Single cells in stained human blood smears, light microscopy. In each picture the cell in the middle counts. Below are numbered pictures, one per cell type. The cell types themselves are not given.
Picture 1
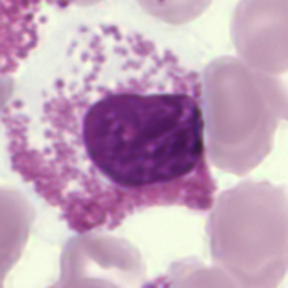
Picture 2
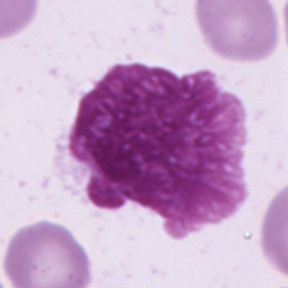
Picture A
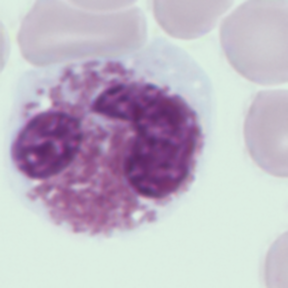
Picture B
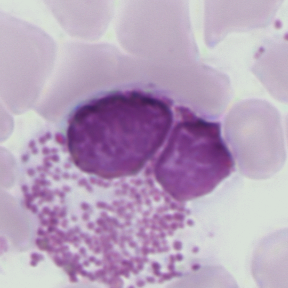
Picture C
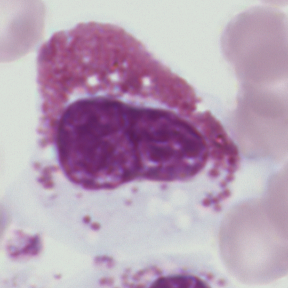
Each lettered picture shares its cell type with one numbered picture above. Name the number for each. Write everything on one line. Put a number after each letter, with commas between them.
A 1, B 1, C 1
